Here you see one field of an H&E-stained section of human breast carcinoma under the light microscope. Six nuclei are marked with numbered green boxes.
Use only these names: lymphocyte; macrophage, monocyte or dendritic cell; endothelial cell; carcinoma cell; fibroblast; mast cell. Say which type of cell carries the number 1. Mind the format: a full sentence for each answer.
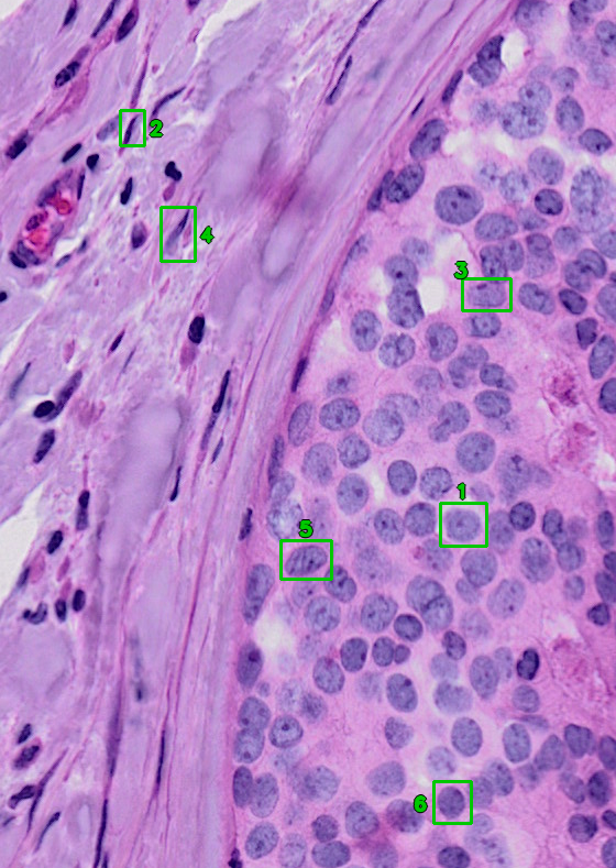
The correct answer for cell 1 is a carcinoma cell.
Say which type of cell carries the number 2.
The cell given label 2 is a fibroblast.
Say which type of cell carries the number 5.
Among the marked nuclei, number 5 belongs to a carcinoma cell.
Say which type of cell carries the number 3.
Looking at the numbered marks, cell 3 is a carcinoma cell.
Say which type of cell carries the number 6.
Within this field of view, the cell labelled 6 is a carcinoma cell.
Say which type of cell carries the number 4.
Cell 4 is classified as a fibroblast.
